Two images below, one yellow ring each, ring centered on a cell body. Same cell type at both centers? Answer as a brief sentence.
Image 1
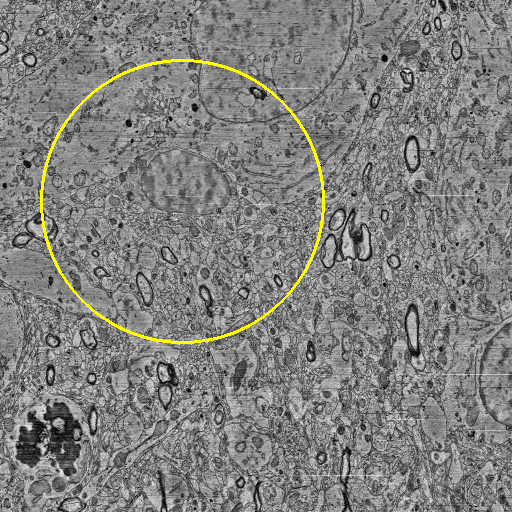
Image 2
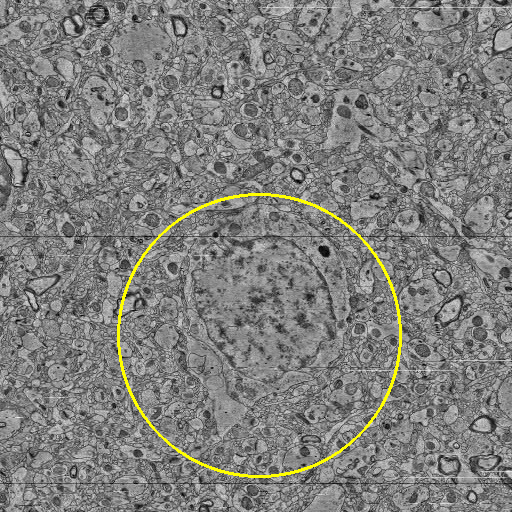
No, the cells are of two separate types.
